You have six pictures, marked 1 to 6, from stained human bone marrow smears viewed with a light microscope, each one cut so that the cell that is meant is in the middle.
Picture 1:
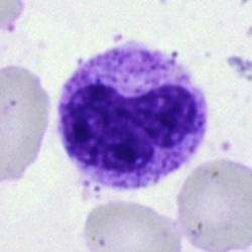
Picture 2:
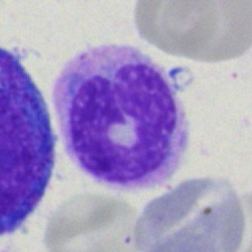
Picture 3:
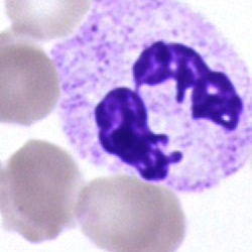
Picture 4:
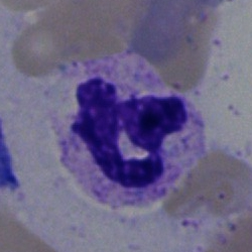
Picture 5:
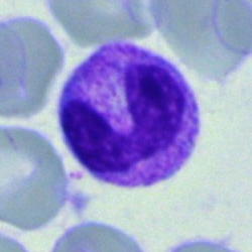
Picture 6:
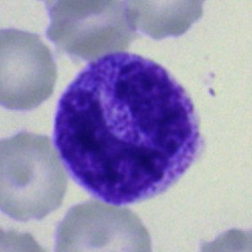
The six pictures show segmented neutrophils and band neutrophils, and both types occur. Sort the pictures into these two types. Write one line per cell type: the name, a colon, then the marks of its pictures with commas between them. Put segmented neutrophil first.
segmented neutrophil: 3, 4
band neutrophil: 1, 2, 5, 6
